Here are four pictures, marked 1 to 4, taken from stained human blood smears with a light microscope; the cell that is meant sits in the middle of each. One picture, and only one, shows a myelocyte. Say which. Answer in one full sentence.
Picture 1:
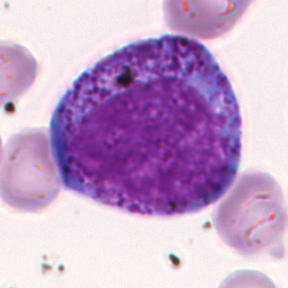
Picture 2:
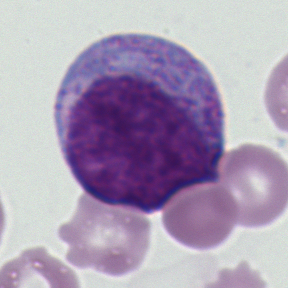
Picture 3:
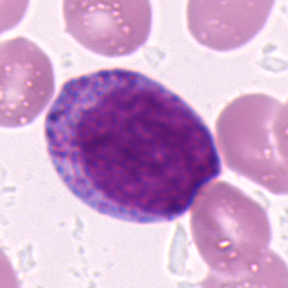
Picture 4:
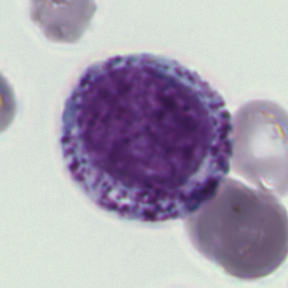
The picture with the myelocyte is 3.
